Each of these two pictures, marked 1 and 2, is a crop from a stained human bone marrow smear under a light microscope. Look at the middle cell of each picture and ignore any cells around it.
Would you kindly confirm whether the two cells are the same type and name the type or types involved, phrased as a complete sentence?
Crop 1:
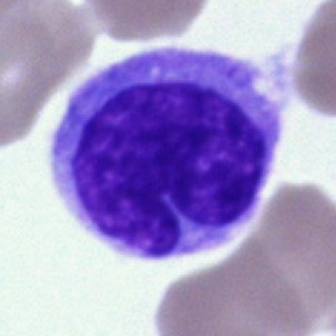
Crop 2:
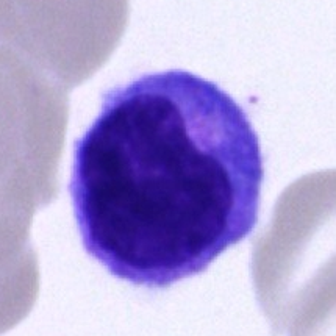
Yes, both crops show monocytes at their middles.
